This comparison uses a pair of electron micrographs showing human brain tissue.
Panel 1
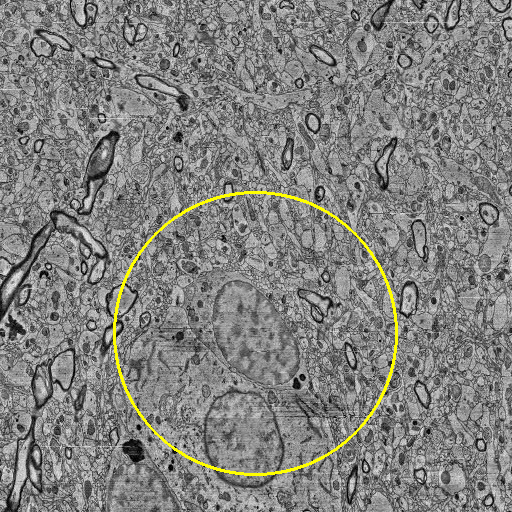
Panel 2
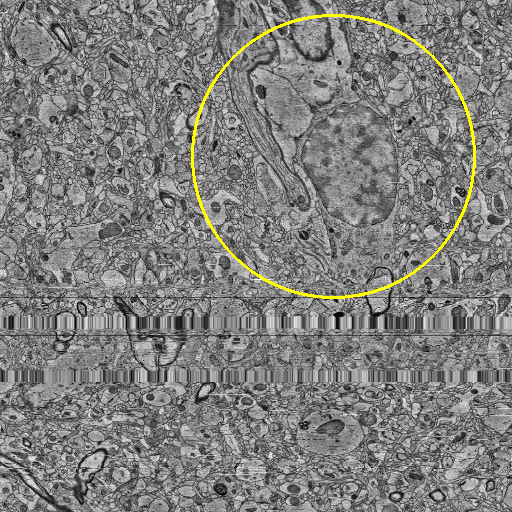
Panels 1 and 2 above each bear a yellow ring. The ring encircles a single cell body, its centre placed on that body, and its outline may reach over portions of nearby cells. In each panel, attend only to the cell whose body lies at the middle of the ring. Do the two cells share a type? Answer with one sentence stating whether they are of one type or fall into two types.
In Panel 1 and Panel 2, the cells at the centres of the rings are of one type.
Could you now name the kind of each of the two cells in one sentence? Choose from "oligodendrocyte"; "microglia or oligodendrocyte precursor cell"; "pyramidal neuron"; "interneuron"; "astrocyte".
Each of the two rings surrounds an oligodendrocyte.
